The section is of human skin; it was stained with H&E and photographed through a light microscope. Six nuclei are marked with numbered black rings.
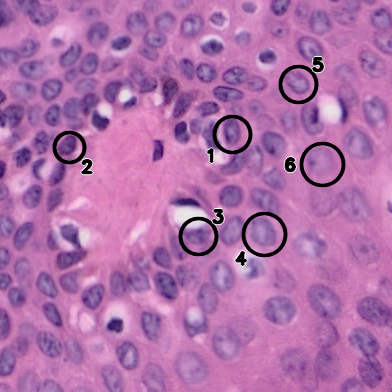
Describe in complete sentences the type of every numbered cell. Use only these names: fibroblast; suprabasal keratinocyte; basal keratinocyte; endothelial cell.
Cell 1 is a basal keratinocyte, cell 2 is a basal keratinocyte, cell 3 is a basal keratinocyte, cell 4 is a suprabasal keratinocyte, cell 5 is a suprabasal keratinocyte and cell 6 is a suprabasal keratinocyte.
